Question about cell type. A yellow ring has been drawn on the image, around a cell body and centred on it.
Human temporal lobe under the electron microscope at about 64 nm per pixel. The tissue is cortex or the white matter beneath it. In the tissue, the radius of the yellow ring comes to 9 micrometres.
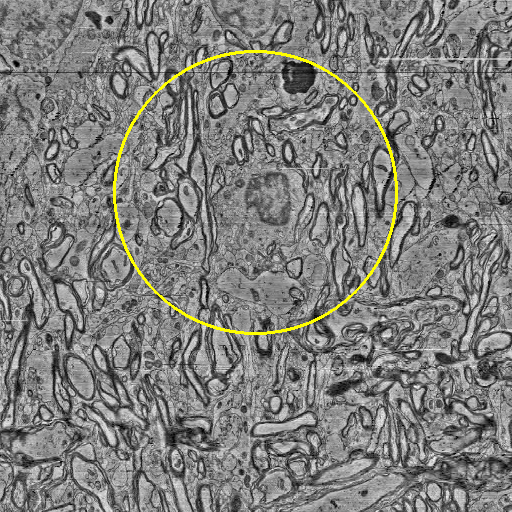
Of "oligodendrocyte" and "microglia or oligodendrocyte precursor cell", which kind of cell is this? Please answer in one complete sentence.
At the centre of the ring lies an oligodendrocyte.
